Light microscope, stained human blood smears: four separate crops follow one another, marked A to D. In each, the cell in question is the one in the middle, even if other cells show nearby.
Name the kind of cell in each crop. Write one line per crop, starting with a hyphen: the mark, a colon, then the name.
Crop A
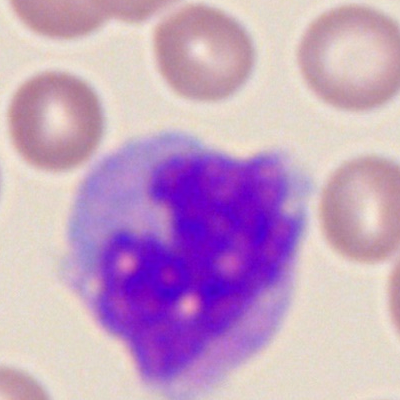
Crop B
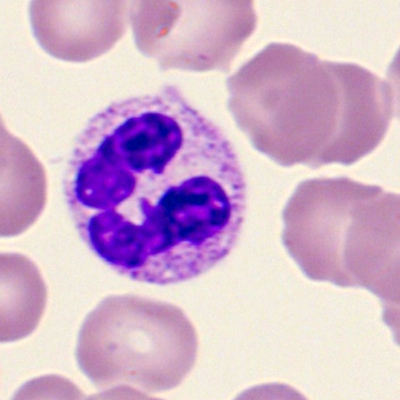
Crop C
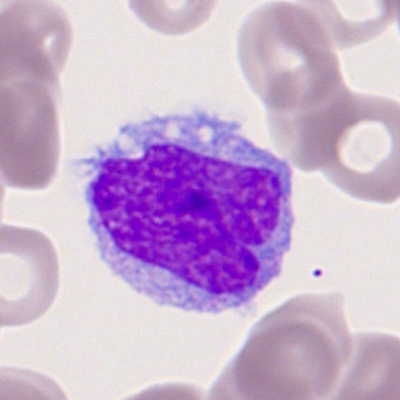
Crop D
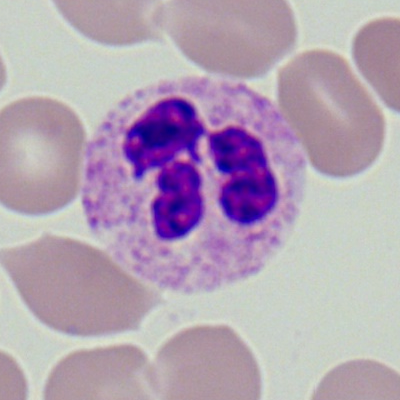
- A: monocyte
- B: segmented neutrophil
- C: monocyte
- D: segmented neutrophil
